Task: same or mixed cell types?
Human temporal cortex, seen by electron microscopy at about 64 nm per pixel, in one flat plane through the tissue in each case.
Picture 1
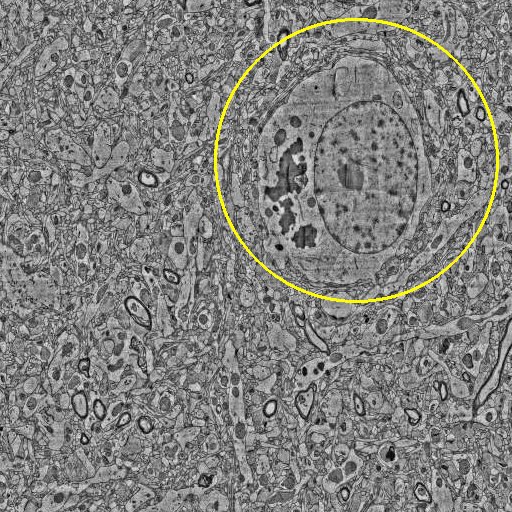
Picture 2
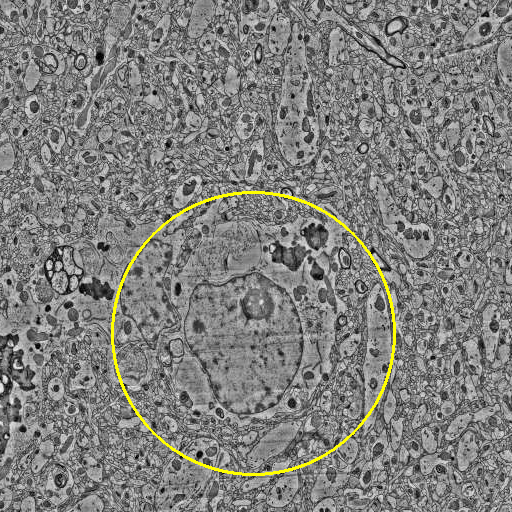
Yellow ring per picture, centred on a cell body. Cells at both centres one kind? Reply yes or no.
yes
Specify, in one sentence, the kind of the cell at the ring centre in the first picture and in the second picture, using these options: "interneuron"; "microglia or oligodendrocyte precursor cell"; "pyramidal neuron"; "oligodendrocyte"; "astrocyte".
In each picture the ringed cell is an astrocyte.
